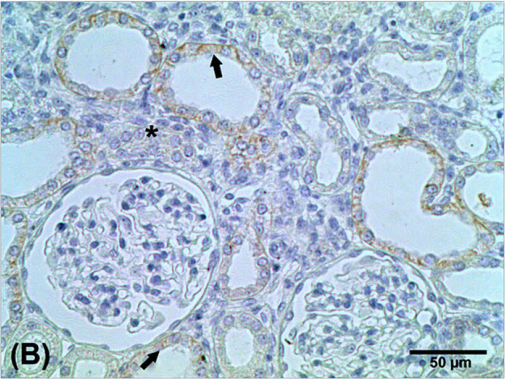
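This is renal cortex with two glomeruli and surrounding tubules, with crowded interstitial cells between them. The tubules have wide clear lumens lined by a thin, flattened epithelium with small blue nuclei, and only faint brown lines along their cells. Between the tubules and glomeruli lies a dense population of small cells with round or oval blue nuclei that are not arranged around lumens. The glomeruli show capillary tufts with many nuclei inside a clear space bounded by a thin capsule. Overall brown staining is weak compared with the blue counterstain.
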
